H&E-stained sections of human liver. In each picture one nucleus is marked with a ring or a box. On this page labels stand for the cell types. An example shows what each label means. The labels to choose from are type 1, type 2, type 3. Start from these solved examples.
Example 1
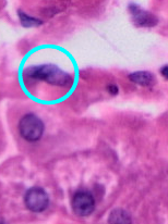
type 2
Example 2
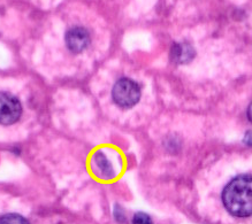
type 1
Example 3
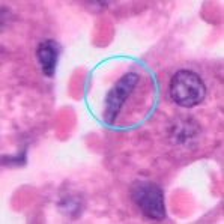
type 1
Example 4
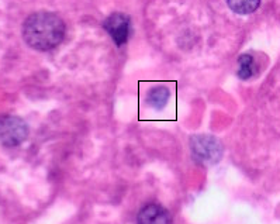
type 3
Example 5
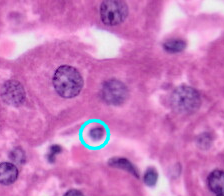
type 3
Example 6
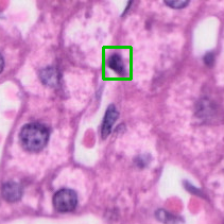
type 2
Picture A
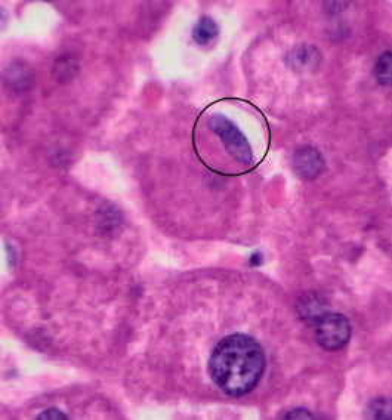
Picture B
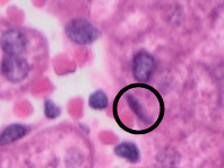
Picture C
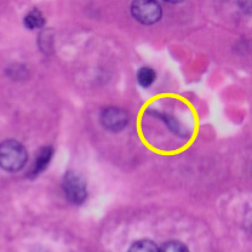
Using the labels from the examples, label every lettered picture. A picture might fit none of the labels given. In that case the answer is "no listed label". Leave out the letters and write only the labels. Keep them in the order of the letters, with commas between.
type 1, type 2, type 2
